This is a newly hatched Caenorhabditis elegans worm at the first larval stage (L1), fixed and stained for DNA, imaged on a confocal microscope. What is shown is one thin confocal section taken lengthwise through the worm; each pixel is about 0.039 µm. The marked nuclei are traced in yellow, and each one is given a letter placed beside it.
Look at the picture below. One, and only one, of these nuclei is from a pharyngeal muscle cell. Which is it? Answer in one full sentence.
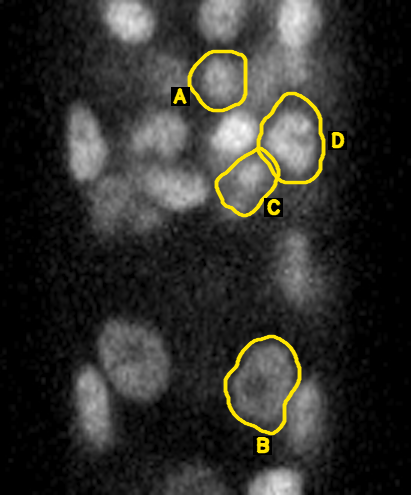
A is the one that belongs to a pharyngeal muscle cell.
